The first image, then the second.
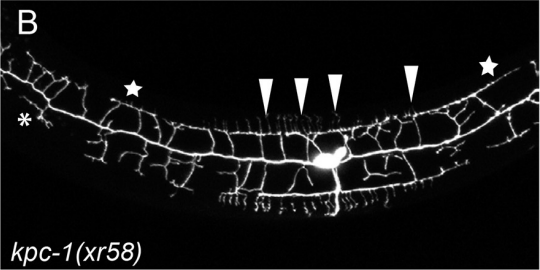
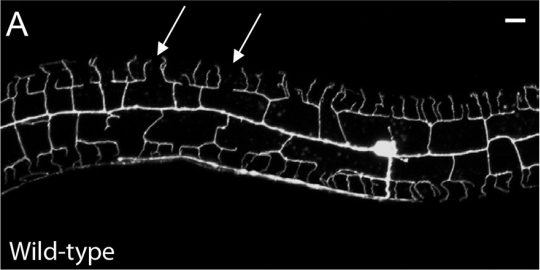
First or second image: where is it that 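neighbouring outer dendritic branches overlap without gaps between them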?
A: The first image.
